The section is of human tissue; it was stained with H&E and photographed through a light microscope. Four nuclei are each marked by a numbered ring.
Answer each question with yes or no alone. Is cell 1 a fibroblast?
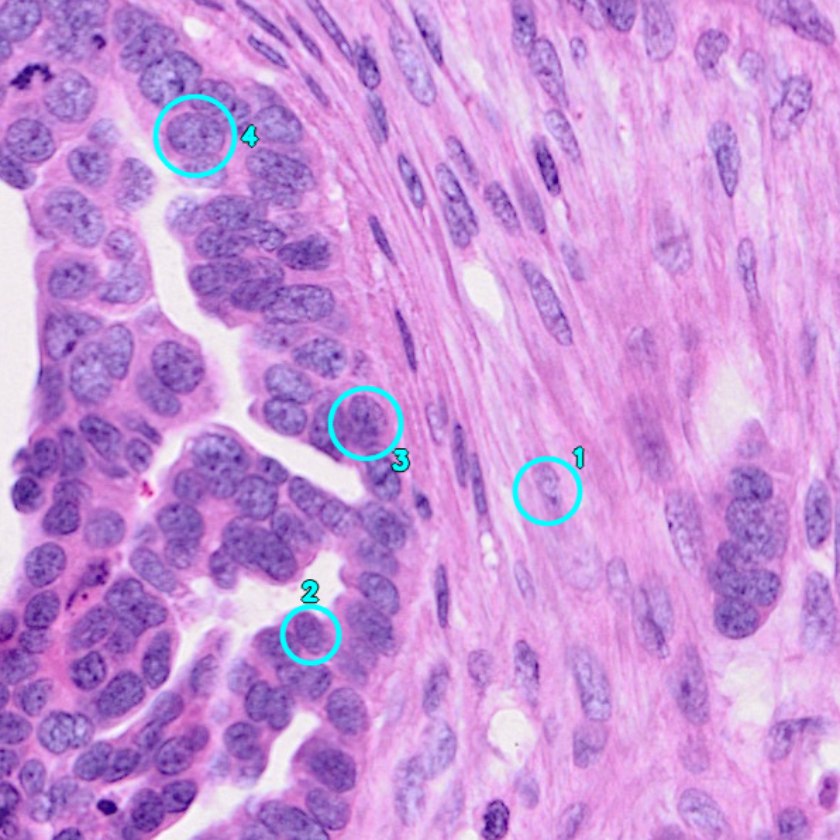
yes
